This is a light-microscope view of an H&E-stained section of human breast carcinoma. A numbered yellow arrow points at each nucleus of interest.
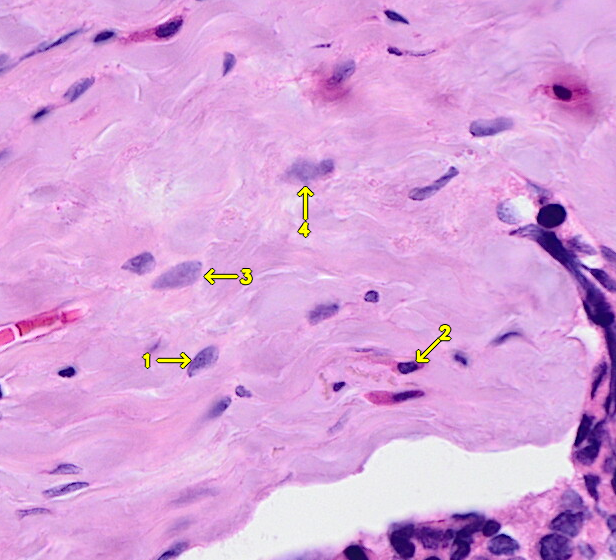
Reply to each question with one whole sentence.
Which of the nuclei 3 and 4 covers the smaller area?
Number 4 is smaller, since number 3 takes up about 1.5 times as much area.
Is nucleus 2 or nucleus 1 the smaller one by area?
Nucleus 2 covers less area, with nucleus 1 about 2 times as large.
